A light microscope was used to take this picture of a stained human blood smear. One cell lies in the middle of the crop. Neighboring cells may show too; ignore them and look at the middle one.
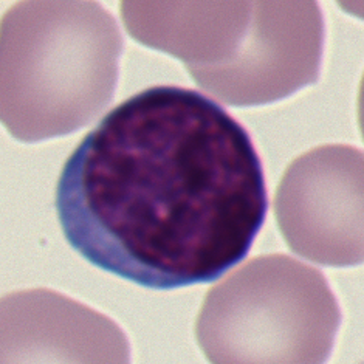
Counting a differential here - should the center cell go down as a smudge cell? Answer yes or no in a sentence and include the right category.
No, a typical lymphocyte rather than a smudge cell is the cell at the centre of the crop.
